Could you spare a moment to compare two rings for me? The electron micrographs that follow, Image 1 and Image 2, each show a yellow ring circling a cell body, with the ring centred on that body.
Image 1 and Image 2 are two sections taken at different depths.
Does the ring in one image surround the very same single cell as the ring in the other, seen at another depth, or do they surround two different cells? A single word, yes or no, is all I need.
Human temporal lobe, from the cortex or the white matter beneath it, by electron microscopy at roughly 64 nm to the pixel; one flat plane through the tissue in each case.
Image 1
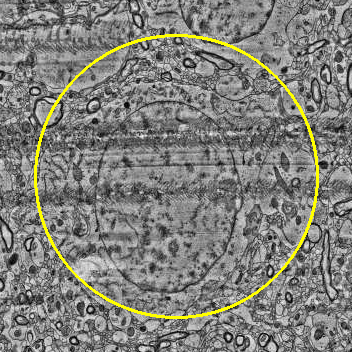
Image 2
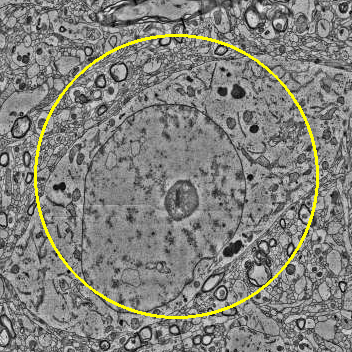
no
